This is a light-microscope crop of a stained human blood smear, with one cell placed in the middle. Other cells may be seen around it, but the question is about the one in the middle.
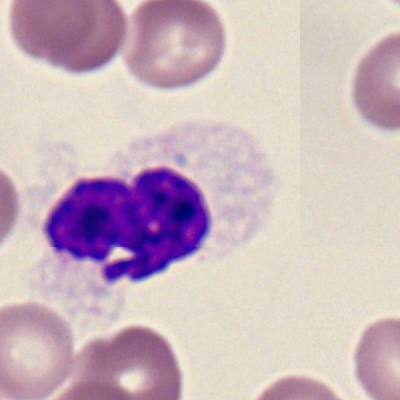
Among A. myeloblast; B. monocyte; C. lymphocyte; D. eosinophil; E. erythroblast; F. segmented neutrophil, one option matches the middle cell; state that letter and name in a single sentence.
The central cell in this crop is a segmented neutrophil, so the correct choice is option F.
